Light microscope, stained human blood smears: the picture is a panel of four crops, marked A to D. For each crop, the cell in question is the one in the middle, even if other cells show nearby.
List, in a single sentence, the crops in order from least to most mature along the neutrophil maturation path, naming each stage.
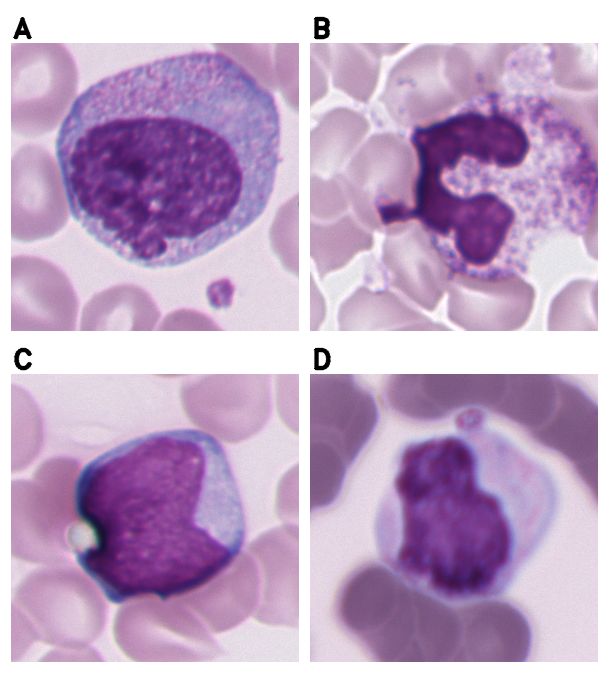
Least to most mature, the crops line up as crop C (a myeloblast), crop A (a promyelocyte), crop D (a metamyelocyte) and crop B (a segmented neutrophil).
